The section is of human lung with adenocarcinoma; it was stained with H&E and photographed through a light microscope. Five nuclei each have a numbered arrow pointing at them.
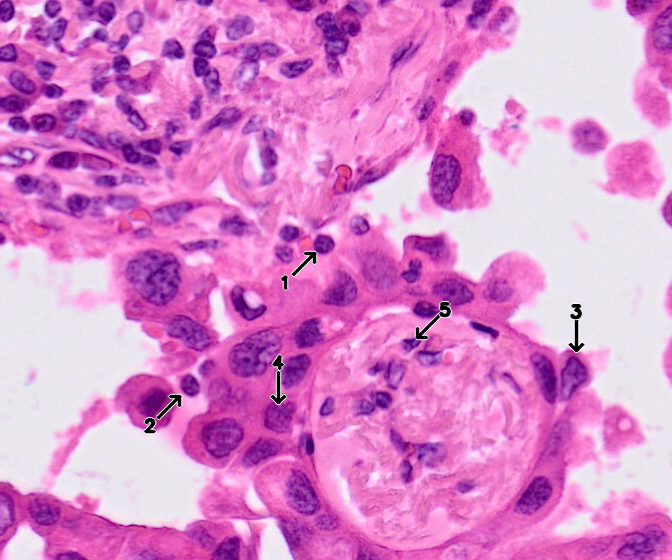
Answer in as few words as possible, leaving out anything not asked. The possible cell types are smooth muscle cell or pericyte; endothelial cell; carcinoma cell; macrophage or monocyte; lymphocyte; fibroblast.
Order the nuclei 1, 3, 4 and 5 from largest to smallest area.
3, 4, 1, 5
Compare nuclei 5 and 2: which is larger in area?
2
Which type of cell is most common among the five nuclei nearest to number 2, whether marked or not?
carcinoma cell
